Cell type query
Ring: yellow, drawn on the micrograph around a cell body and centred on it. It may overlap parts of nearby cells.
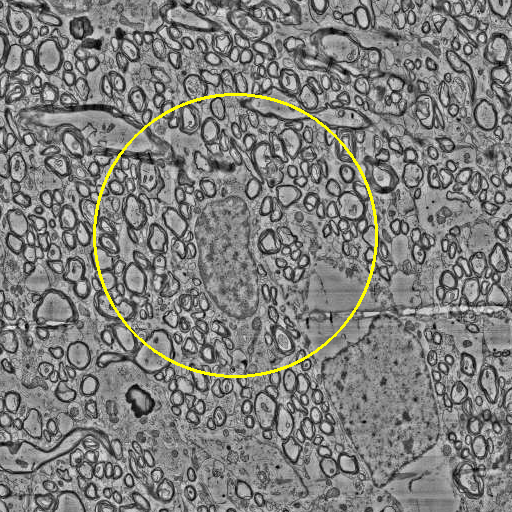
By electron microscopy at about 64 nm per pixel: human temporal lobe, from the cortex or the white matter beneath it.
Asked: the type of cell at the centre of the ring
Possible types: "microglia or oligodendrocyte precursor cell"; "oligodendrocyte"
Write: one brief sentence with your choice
The ring marks an oligodendrocyte.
